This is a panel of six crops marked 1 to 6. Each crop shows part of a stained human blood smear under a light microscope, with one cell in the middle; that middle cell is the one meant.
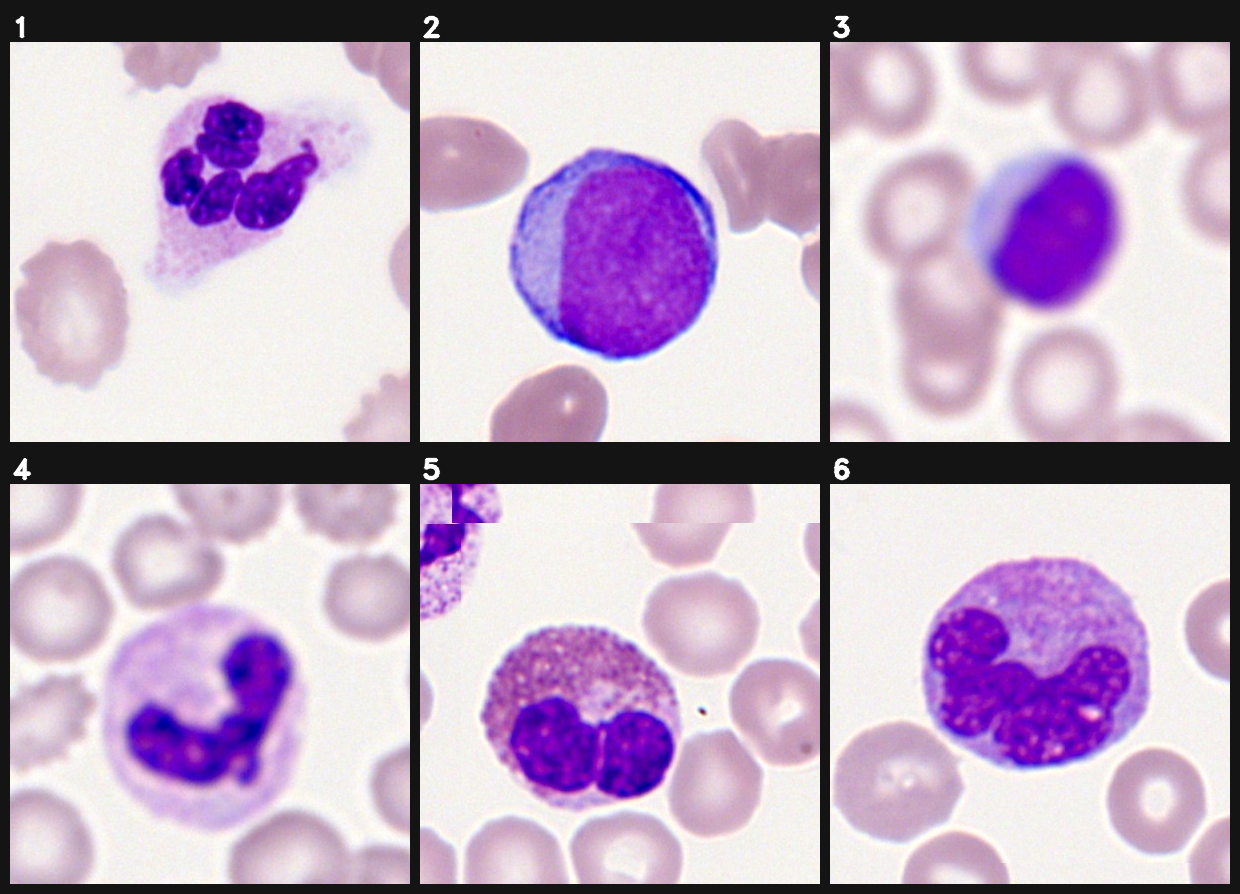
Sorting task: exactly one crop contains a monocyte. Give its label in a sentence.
The crop that shows a monocyte is crop 6.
